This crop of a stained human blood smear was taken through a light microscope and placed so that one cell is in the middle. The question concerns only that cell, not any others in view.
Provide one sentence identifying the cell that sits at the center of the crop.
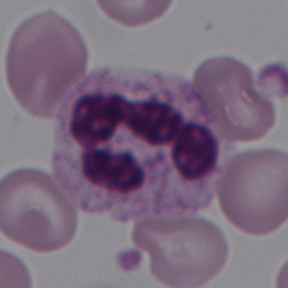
Centrally within this crop lies a neutrophil.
